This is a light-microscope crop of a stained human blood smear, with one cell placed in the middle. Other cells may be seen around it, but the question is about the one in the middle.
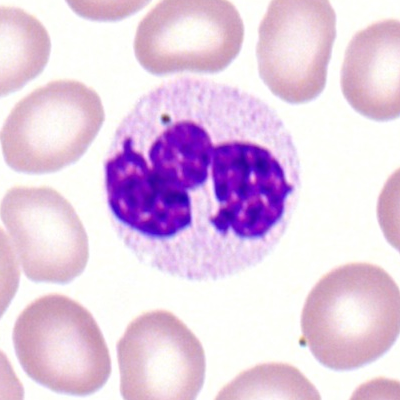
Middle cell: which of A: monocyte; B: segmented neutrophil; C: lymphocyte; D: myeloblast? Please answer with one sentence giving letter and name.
The cell at the centre is a segmented neutrophil, and option B accordingly is correct.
